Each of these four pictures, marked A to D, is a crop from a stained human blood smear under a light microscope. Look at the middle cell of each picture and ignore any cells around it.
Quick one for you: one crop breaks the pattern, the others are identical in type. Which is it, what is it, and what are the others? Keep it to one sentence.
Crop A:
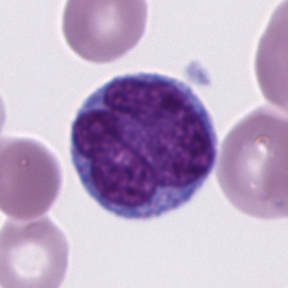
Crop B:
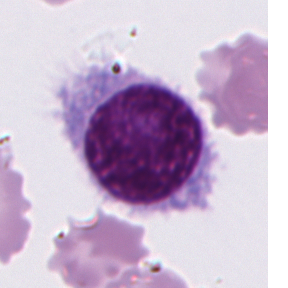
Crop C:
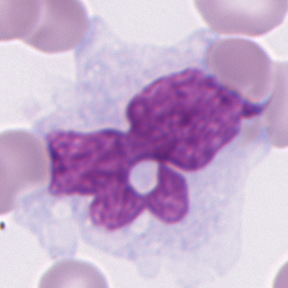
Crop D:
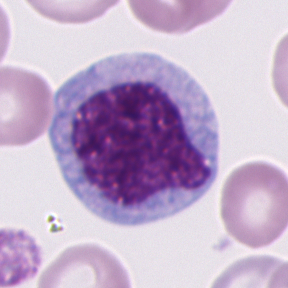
Whereas the other crops show monocytes, crop B is a hairy cell.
